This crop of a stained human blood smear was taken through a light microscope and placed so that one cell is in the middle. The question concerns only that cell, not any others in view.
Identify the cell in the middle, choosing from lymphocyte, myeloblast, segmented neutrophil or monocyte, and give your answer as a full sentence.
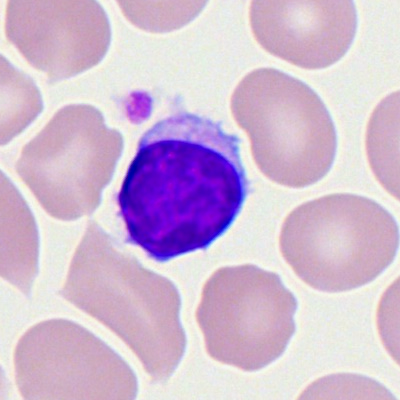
Framed in the middle of the crop is a lymphocyte.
